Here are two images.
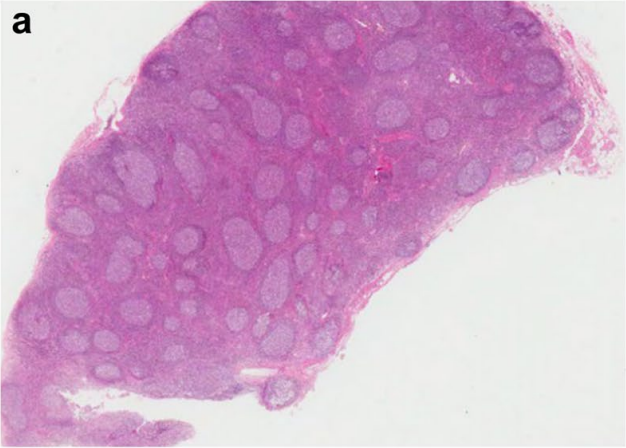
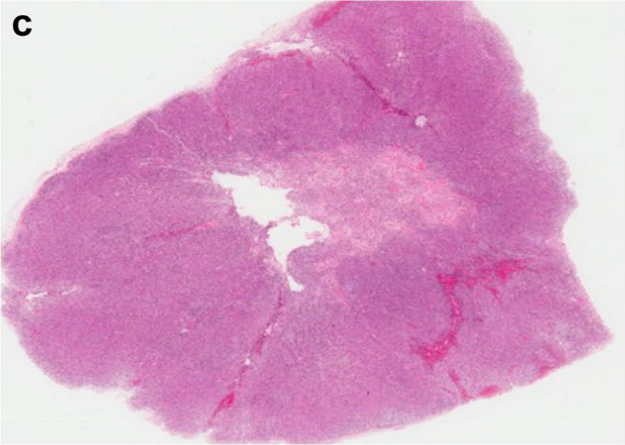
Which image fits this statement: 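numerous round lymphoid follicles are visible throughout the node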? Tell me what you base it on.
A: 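Second image: the node is uniformly pink without distinct round nodules. First image: many round pale-centred nodules with darker rims fill the node.
Answer: the first image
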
